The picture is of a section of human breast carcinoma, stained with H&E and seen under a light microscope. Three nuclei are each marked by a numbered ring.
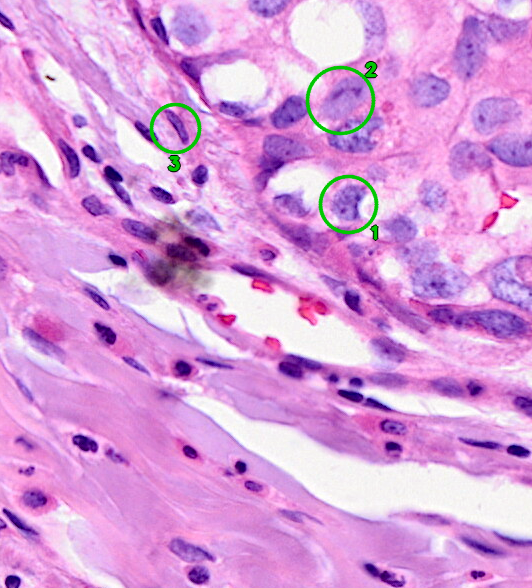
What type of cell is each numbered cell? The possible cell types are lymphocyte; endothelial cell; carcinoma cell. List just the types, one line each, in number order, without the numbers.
carcinoma cell
carcinoma cell
endothelial cell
